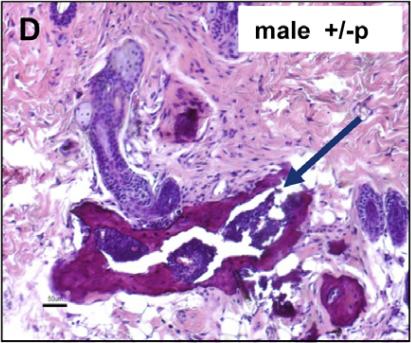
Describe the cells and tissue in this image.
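Beneath a hair follicle in the dermis lies an elongated band of dense dark pink-purple matrix, split by clefts and spaces, some holding small cellular islands. Smaller similar dark pink nodules sit to the side, and glands and pale collagen fibres surround them, with some fat vacuoles below.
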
